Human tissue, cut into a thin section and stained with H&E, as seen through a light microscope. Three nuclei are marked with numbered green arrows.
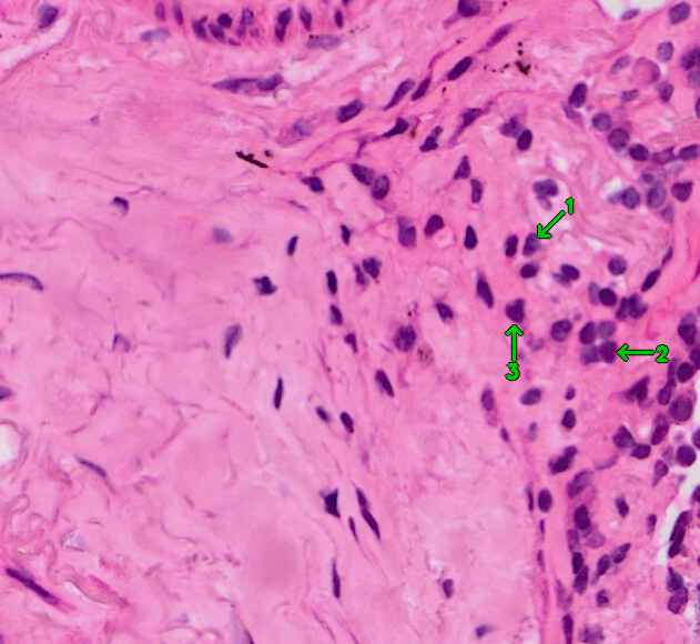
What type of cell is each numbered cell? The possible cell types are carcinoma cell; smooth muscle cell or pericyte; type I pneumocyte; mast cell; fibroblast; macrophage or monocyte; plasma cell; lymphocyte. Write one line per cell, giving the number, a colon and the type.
1: lymphocyte
2: lymphocyte
3: plasma cell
